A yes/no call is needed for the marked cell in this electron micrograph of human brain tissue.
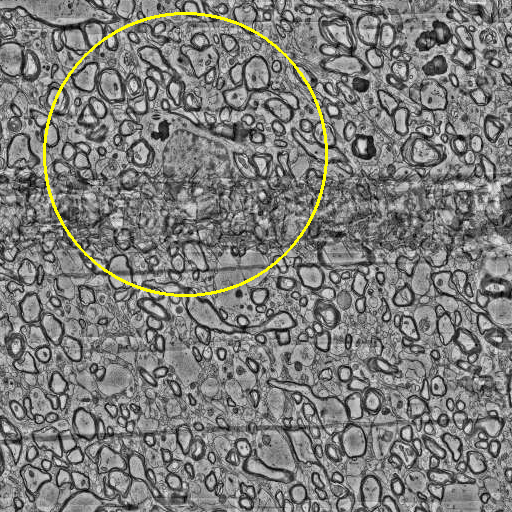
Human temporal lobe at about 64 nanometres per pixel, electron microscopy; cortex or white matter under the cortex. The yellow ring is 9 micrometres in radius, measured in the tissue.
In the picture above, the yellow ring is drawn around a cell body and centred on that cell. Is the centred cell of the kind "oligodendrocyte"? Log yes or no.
yes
